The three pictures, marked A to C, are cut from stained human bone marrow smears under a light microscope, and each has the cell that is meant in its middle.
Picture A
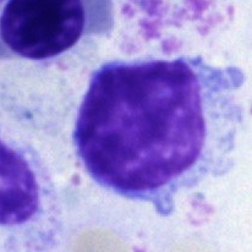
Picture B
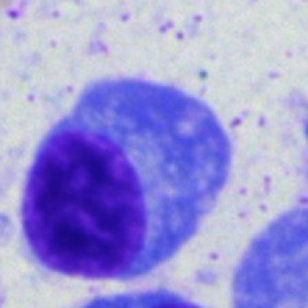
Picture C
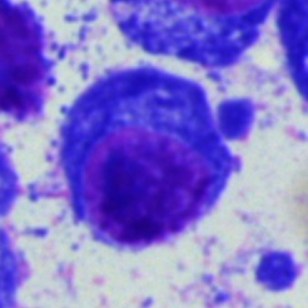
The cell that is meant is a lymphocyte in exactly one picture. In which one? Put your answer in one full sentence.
It is picture A that shows the lymphocyte.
